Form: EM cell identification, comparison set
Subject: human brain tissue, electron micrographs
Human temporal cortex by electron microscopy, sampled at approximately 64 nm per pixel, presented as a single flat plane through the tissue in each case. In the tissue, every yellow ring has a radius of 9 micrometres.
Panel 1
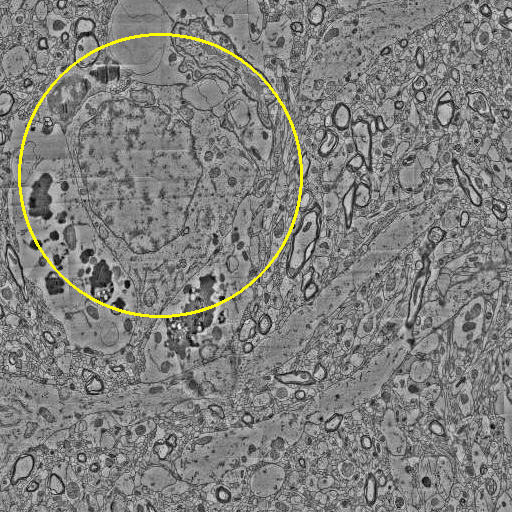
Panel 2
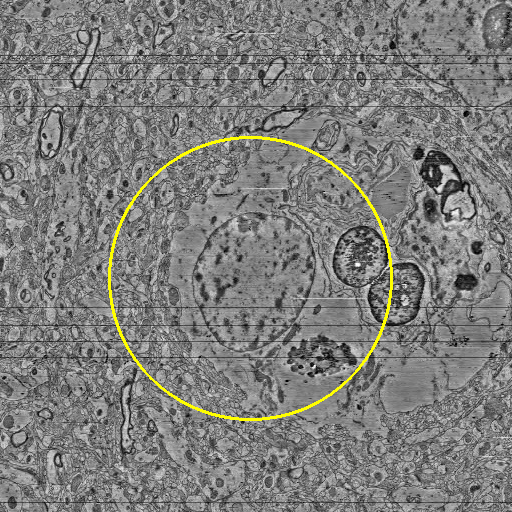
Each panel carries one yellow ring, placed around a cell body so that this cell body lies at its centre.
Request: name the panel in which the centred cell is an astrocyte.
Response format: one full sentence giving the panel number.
Panel 2 has it at the centre of its ring.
